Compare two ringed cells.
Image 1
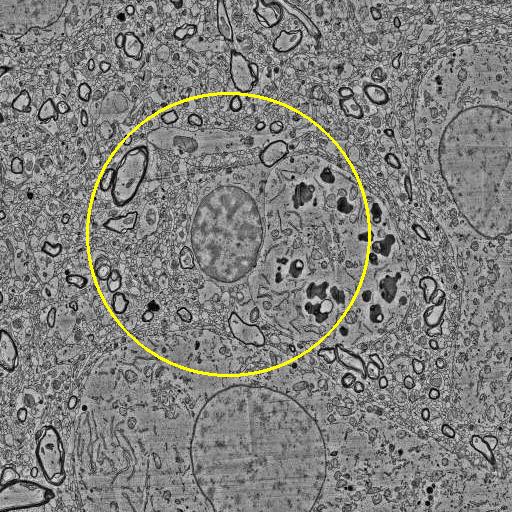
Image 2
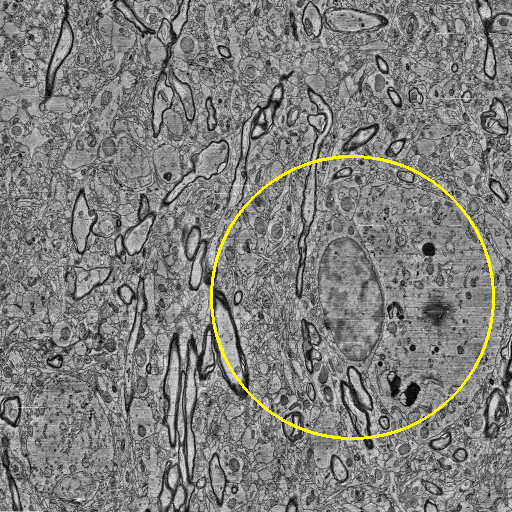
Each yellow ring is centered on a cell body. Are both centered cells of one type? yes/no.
yes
